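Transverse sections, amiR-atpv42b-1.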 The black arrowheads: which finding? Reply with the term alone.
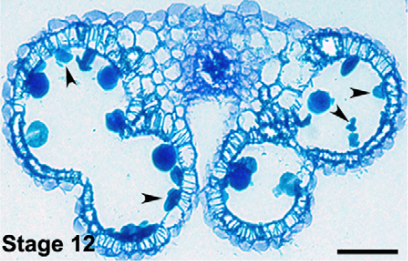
defective pollen grains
